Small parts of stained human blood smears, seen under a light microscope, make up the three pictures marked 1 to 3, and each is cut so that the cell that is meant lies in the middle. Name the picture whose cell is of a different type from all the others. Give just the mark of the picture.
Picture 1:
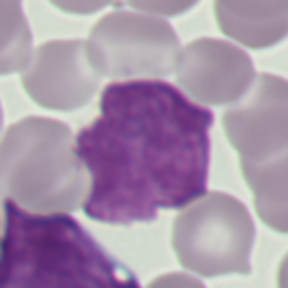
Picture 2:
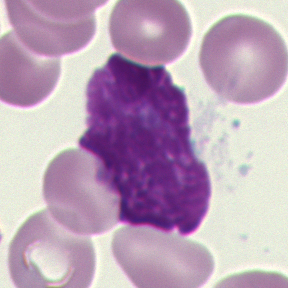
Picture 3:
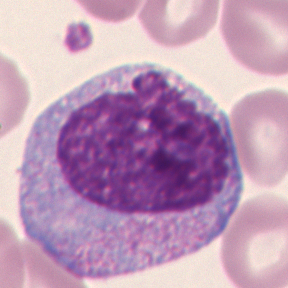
3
